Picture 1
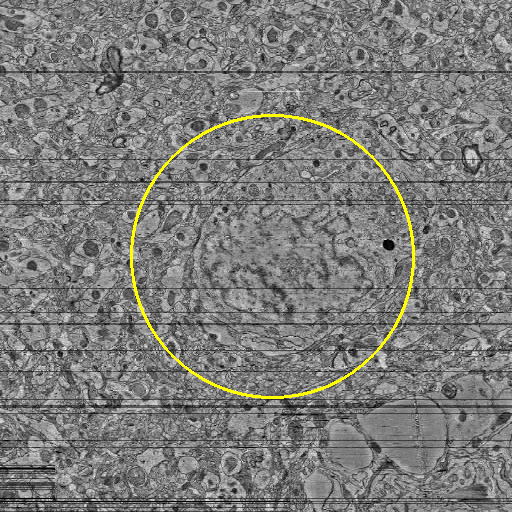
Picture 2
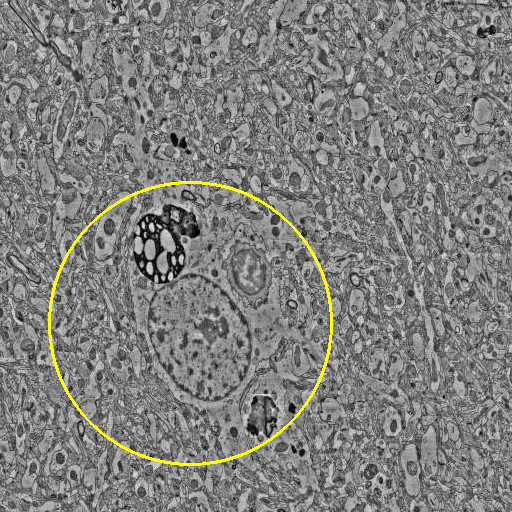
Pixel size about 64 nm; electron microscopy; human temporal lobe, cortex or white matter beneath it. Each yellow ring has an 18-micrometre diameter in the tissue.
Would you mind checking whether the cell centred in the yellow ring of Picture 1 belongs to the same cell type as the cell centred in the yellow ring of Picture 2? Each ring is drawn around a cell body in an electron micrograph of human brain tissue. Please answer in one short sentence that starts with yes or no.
No, the two cells are of two types.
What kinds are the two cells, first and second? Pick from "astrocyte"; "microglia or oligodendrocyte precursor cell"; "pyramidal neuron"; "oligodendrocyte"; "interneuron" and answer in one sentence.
The second picture holds an astrocyte in its ring, and the first holds an interneuron.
